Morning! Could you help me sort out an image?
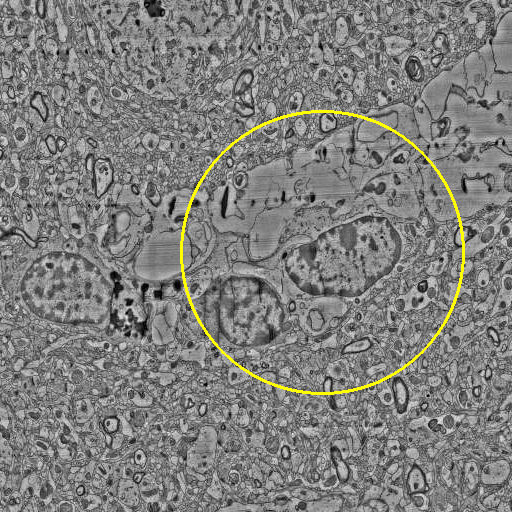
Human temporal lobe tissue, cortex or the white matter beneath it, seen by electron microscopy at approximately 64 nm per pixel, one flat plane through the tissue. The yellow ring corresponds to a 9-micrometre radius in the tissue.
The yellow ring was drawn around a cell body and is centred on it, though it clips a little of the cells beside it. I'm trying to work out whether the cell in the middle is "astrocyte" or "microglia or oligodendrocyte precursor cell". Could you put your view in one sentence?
The ringed cell body is that of a microglial cell or oligodendrocyte precursor cell.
